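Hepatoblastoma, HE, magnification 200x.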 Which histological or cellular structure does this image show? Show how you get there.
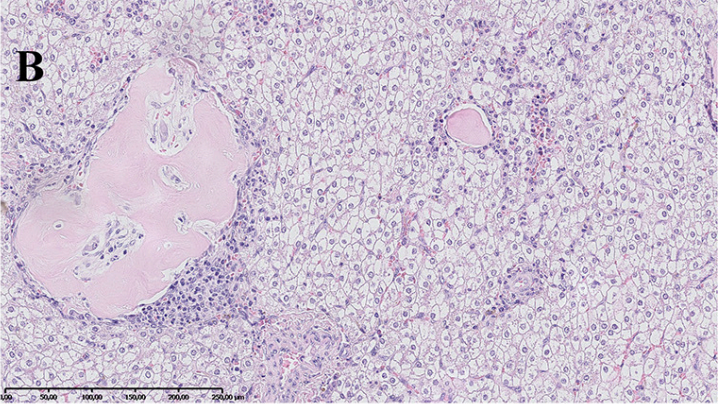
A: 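Osteoid formation. A rounded island of homogeneous pink matrix at the left containing a few cells in spaces.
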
